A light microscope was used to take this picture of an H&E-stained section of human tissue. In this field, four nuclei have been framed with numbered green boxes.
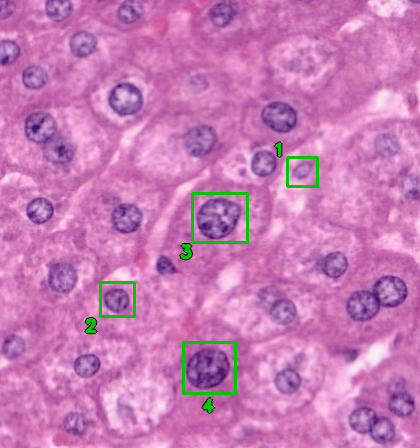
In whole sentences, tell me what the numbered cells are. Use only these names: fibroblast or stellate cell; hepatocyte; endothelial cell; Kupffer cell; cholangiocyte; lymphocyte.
Cell 1 is a Kupffer cell. Cells 2, 3 and 4 are hepatocytes.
